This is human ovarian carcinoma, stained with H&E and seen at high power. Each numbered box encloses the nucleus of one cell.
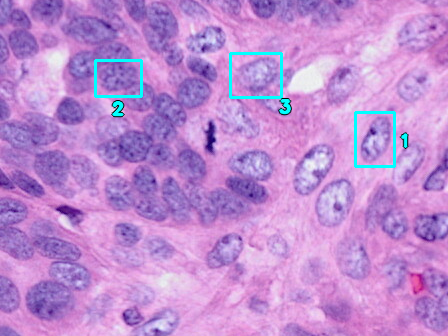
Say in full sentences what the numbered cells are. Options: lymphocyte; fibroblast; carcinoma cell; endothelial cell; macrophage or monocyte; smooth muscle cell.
Cell 1 is a fibroblast, cell 2 is a carcinoma cell and cell 3 is a fibroblast.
